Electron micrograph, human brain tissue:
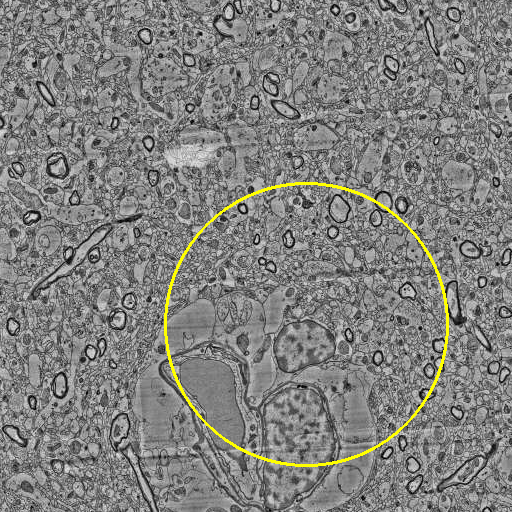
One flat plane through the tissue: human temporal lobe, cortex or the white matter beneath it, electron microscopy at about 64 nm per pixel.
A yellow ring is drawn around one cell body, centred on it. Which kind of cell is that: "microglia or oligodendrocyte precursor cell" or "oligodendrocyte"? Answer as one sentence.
It is a microglial cell or oligodendrocyte precursor cell at the centre of the ring.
